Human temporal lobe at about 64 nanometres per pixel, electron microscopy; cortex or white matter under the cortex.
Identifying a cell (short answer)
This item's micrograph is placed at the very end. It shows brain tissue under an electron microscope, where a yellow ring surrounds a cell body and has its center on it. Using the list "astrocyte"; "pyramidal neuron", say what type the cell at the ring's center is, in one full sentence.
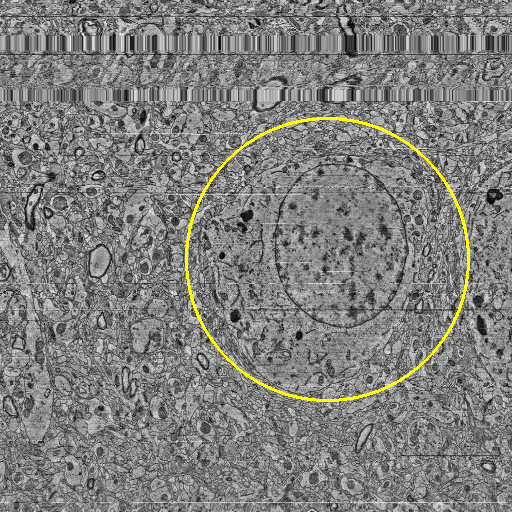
This picture shows a pyramidal neuron at the center of the yellow ring drawn on it.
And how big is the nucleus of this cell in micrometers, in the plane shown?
About 11 by 9 micrometers, in this plane.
